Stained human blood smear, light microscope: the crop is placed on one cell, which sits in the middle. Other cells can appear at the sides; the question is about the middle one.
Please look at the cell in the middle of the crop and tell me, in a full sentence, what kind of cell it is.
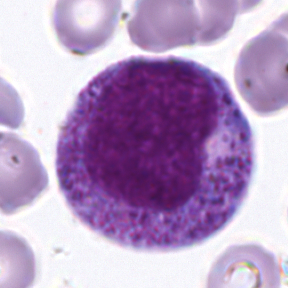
The cell of interest, in the center, is a promyelocyte.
